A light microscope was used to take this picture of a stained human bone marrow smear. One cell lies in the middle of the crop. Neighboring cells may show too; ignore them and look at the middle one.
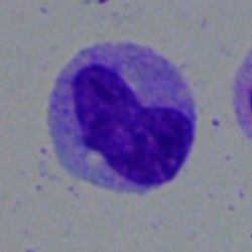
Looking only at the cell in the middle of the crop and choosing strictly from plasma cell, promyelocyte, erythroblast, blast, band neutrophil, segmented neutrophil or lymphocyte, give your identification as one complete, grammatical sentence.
By classification, the middle cell of this crop is a band neutrophil.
